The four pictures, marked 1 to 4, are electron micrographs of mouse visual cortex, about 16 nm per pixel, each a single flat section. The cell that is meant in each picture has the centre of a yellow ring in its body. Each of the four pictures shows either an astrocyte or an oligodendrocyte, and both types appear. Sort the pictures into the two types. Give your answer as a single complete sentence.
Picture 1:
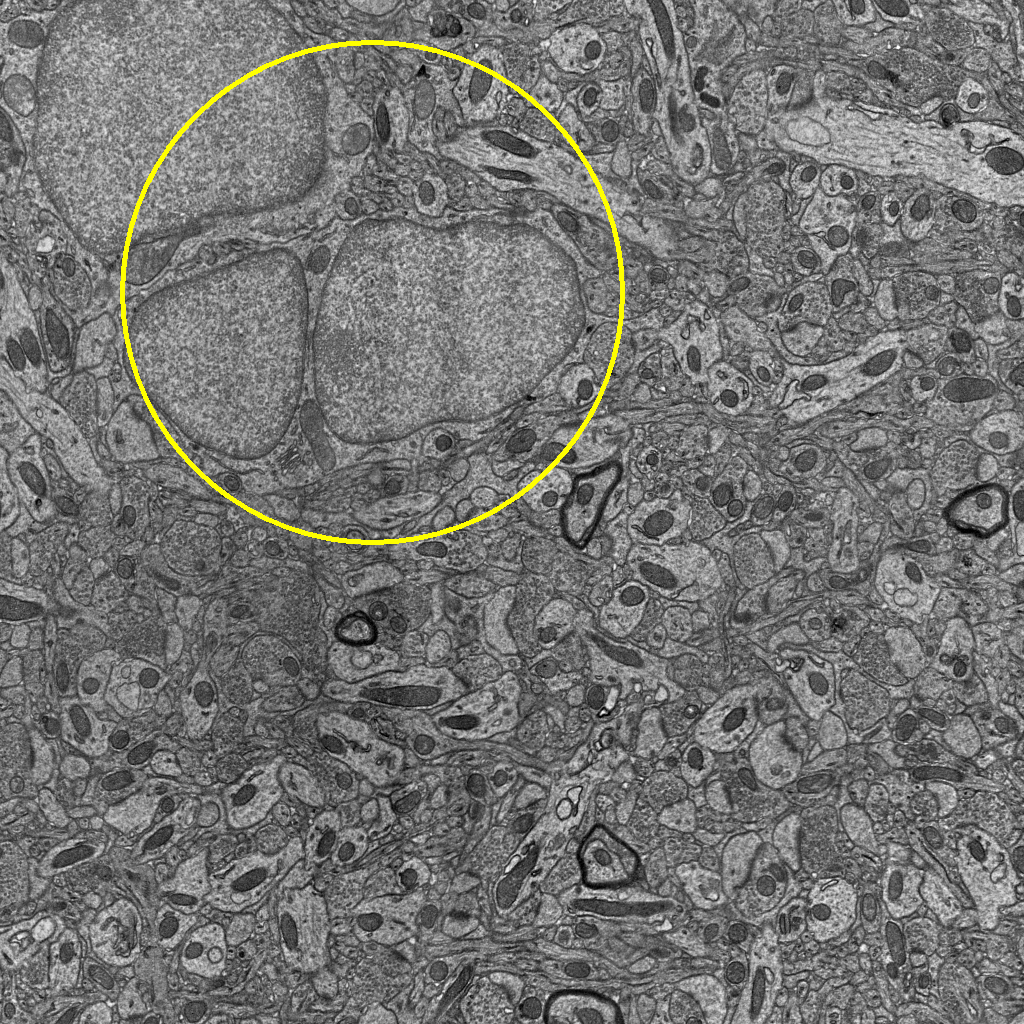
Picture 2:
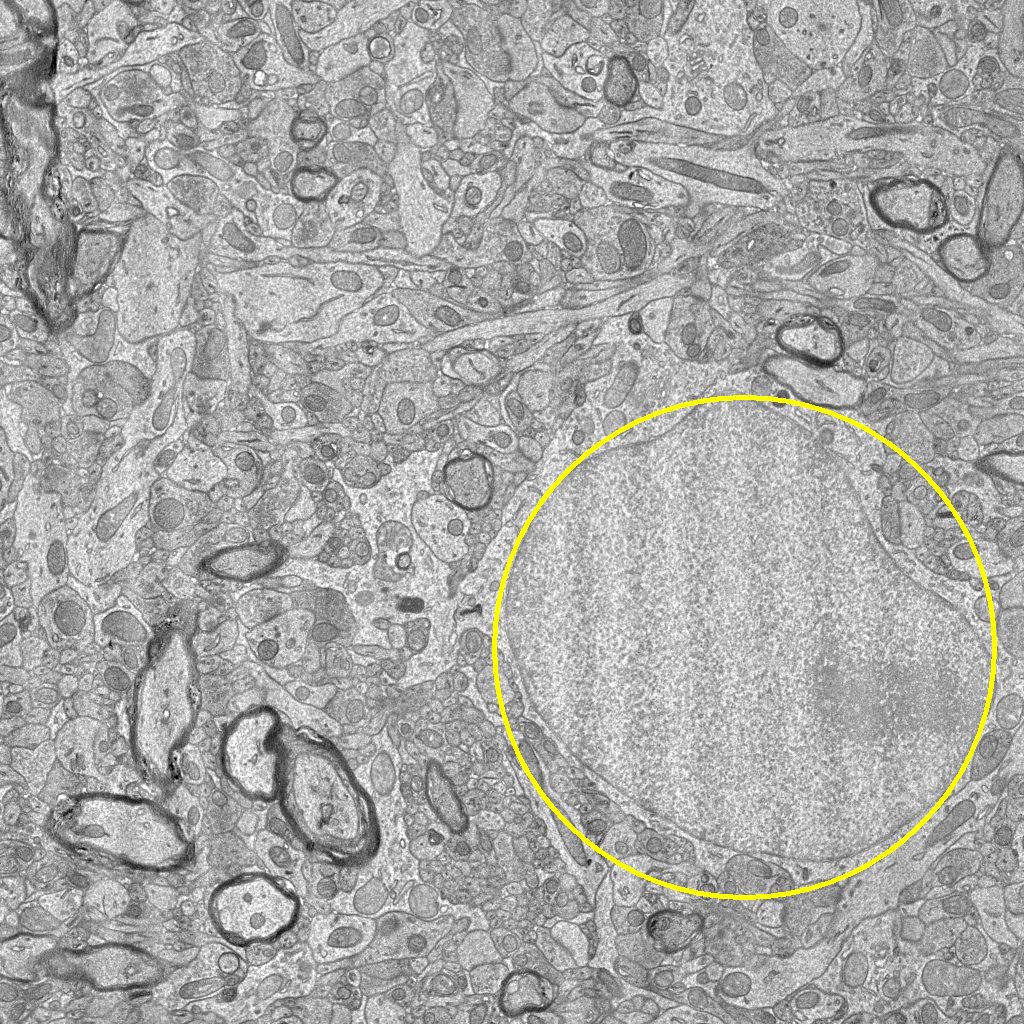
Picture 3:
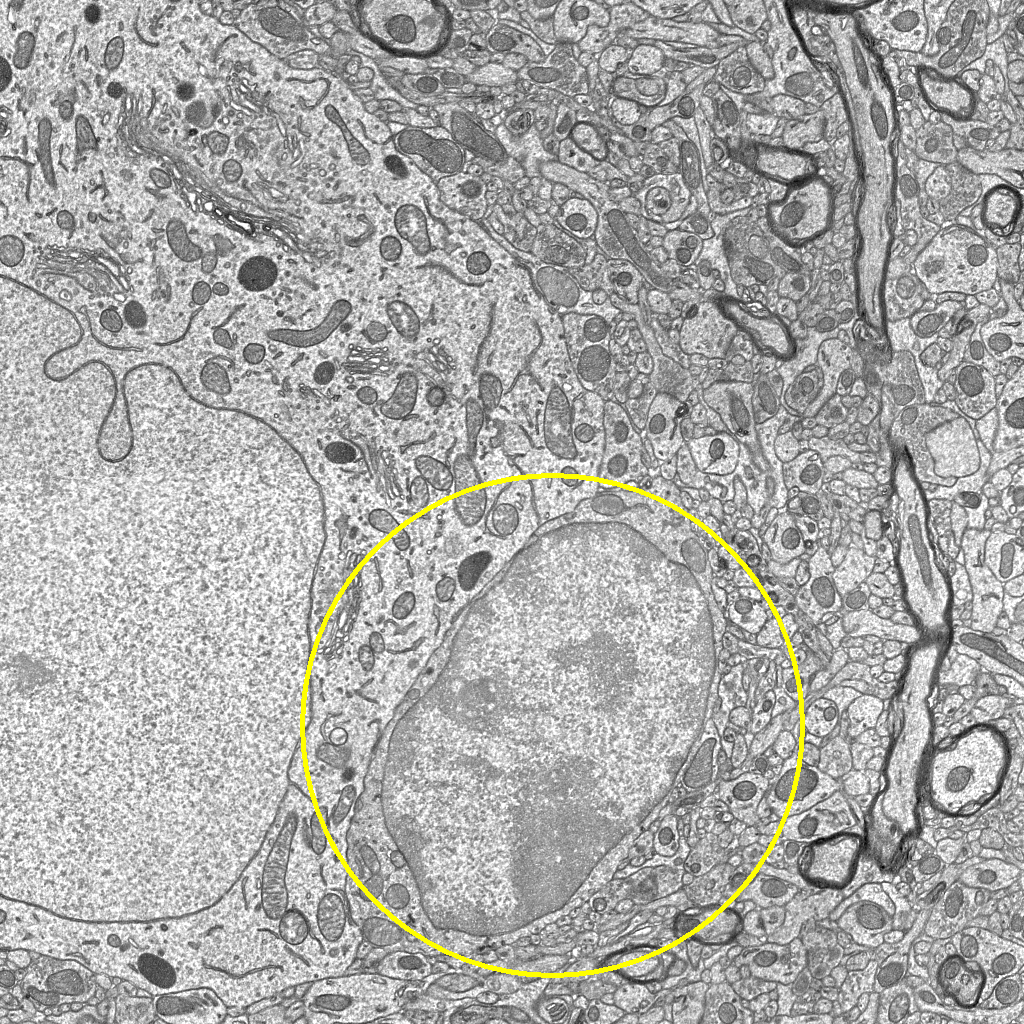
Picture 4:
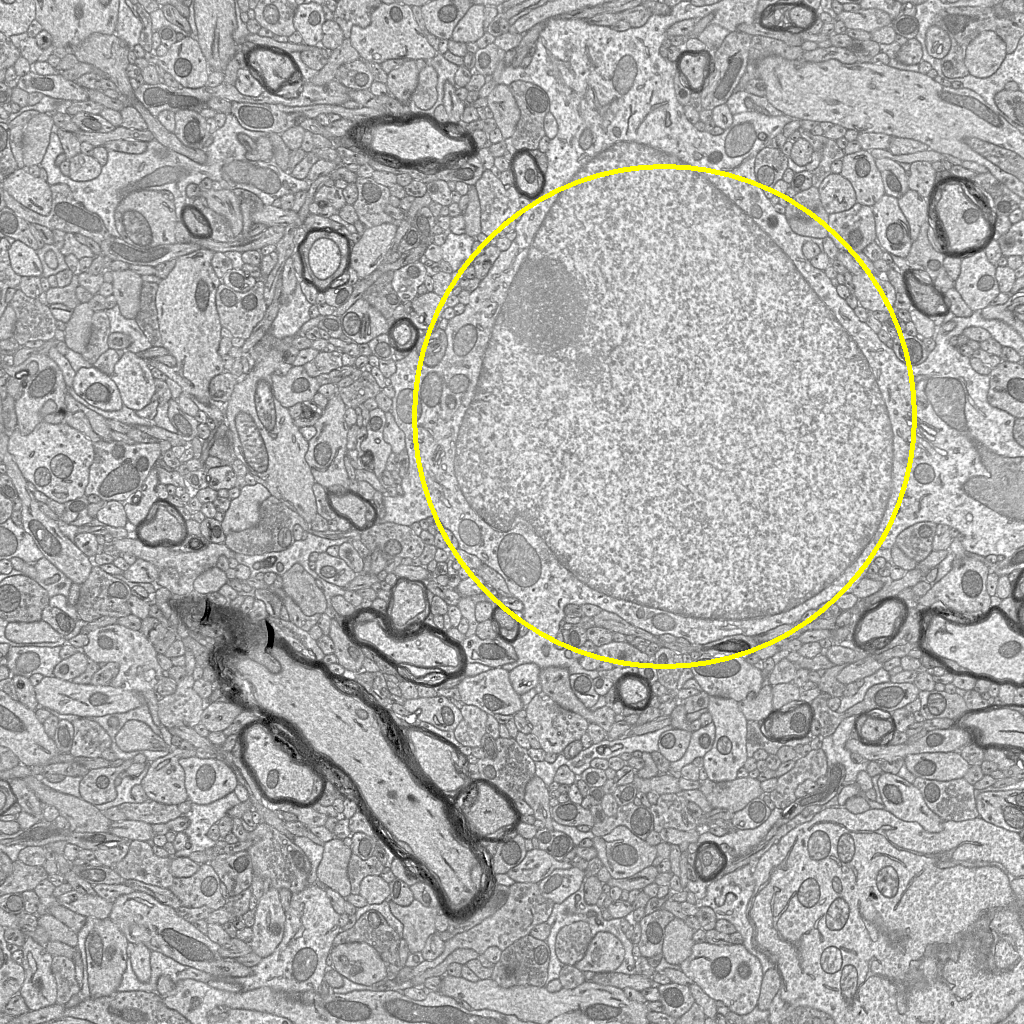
Pictures 1, 2 and 4 show astrocytes, and picture 3 shows an oligodendrocyte.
